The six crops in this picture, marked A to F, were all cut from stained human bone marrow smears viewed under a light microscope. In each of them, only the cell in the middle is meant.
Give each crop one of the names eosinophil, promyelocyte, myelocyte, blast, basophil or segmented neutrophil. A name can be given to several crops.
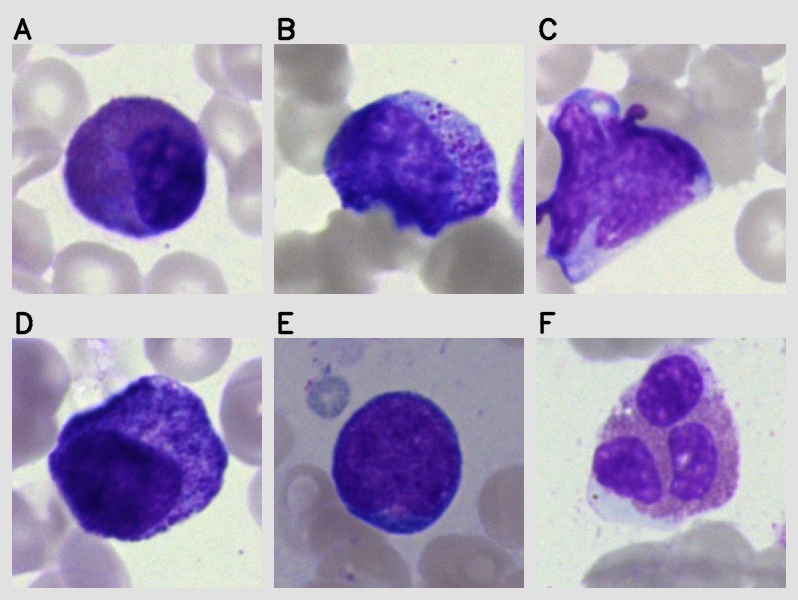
A: eosinophil
B: promyelocyte
C: blast
D: promyelocyte
E: blast
F: eosinophil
